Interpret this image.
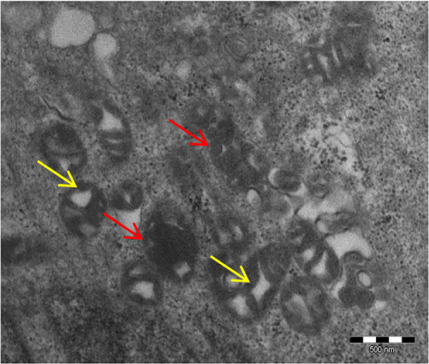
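Transmission electron micrograph of cell cytoplasm with a cluster of small, round mitochondria. Many contain large pale, empty-looking vacuoles that push the dark matrix to the rim, while others appear uniformly dark with hardly any visible cristae. Few of the mitochondria retain the regular folded inner membranes of normal mitochondria. The surrounding cytoplasm is granular and contains scattered membrane-bound pale spaces.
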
